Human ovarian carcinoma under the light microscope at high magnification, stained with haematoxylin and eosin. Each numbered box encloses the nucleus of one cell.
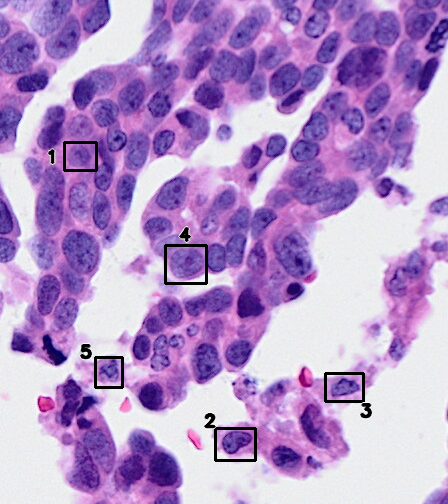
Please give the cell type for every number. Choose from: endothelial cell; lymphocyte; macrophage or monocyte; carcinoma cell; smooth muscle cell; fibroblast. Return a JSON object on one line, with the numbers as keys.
{"1": "carcinoma cell", "2": "macrophage or monocyte", "3": "macrophage or monocyte", "4": "carcinoma cell", "5": "macrophage or monocyte"}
